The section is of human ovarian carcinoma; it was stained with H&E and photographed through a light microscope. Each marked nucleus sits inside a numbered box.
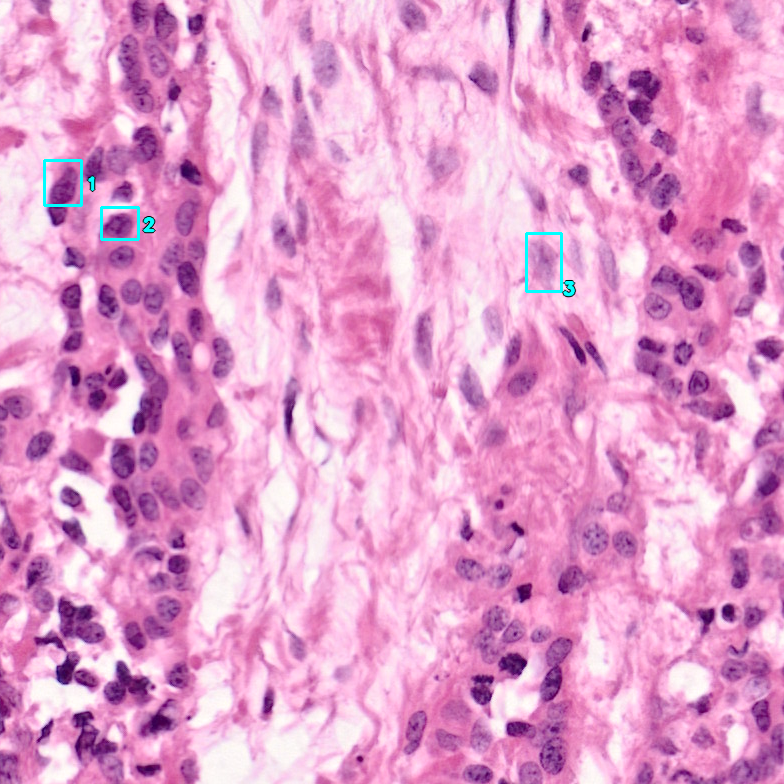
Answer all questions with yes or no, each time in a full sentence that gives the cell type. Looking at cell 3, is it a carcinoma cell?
No, the cell at marker 3 is not a carcinoma cell; it is a fibroblast.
